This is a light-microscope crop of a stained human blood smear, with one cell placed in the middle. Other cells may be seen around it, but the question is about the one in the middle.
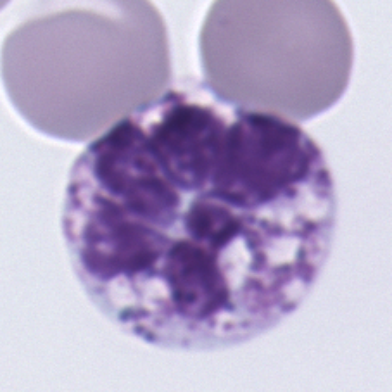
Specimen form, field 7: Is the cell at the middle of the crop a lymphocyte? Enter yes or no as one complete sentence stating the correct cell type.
No, rather than being a lymphocyte, the central cell is a basophil.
